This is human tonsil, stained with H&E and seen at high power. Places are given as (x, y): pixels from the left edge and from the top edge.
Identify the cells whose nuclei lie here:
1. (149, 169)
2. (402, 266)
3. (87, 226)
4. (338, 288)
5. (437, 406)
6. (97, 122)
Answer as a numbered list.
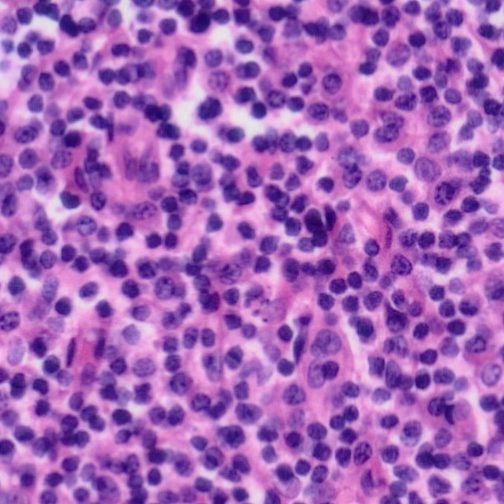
1. endothelial cell
2. plasma cell
3. plasma cell
4. small lymphocyte
5. plasma cell
6. small lymphocyte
